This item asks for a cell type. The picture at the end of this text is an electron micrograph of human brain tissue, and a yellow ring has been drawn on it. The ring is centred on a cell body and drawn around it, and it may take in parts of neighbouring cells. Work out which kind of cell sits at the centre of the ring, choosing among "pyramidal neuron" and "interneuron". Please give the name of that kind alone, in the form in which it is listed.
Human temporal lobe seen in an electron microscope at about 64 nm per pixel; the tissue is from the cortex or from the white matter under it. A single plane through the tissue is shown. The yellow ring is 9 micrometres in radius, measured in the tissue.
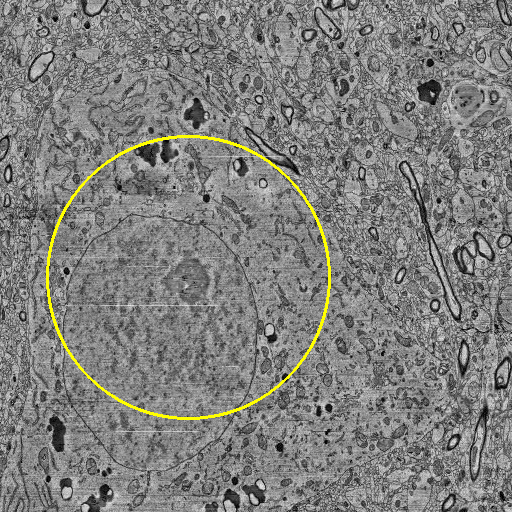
pyramidal neuron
